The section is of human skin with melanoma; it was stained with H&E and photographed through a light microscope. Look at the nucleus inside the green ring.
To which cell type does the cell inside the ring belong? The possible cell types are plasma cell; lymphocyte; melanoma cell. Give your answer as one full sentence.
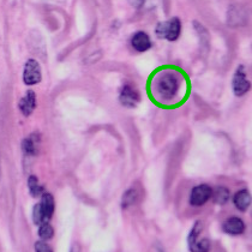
In the stained section, the cell inside the ring is a plasma cell.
